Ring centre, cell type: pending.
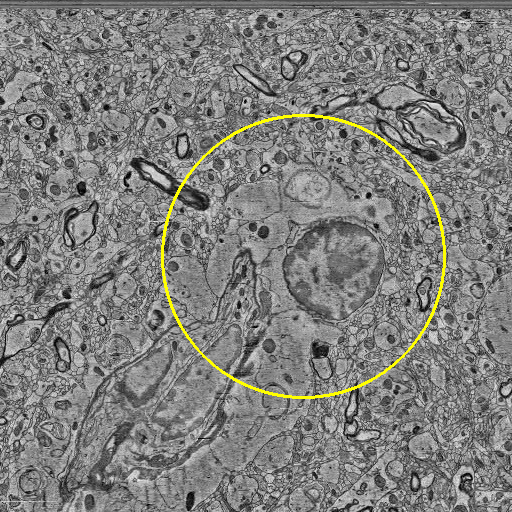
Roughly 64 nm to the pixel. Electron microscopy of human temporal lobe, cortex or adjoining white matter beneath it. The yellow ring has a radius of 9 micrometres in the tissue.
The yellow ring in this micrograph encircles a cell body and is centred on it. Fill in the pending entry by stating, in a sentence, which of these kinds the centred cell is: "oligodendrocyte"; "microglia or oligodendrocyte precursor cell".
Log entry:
The centred cell is recorded as a microglial cell or oligodendrocyte precursor cell.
